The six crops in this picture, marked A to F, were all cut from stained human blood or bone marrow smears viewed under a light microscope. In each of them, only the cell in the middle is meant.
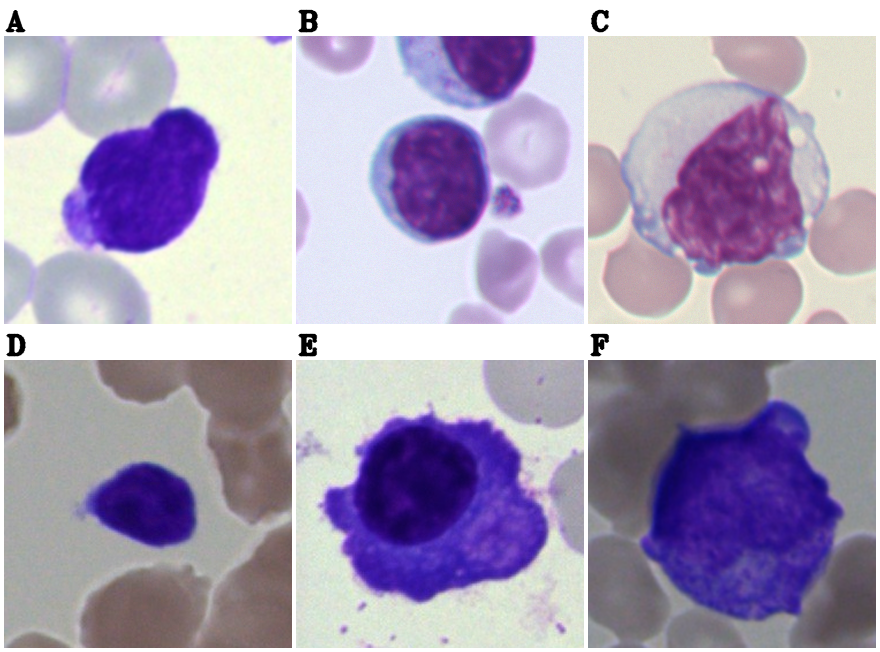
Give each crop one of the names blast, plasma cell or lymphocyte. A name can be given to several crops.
A: blast
B: lymphocyte
C: blast
D: lymphocyte
E: plasma cell
F: blast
